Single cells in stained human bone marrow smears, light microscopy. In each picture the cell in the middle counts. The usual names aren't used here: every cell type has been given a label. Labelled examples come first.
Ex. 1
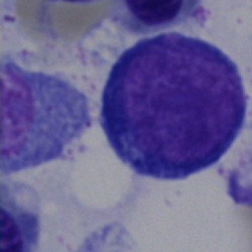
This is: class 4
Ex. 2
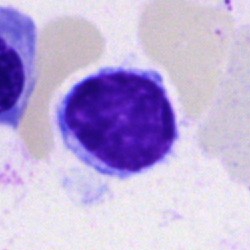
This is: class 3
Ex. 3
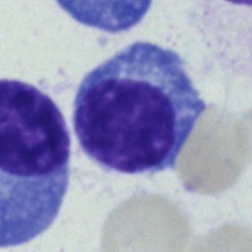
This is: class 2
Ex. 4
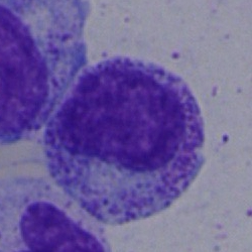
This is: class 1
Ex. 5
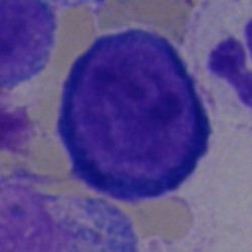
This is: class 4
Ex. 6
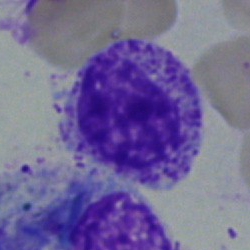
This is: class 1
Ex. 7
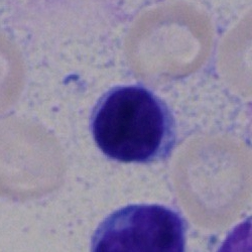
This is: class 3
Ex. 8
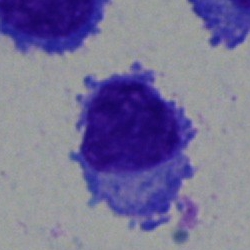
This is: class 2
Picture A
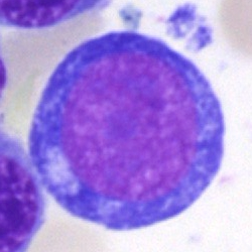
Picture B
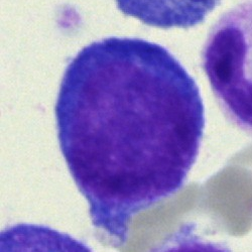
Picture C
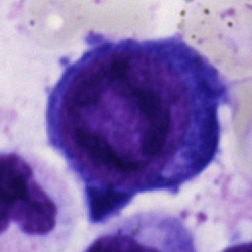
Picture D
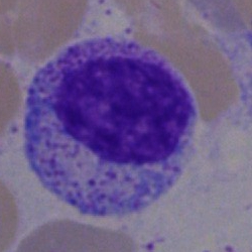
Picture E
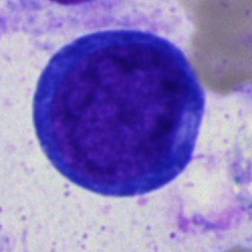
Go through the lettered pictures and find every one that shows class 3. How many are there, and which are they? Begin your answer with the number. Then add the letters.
0, none of them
